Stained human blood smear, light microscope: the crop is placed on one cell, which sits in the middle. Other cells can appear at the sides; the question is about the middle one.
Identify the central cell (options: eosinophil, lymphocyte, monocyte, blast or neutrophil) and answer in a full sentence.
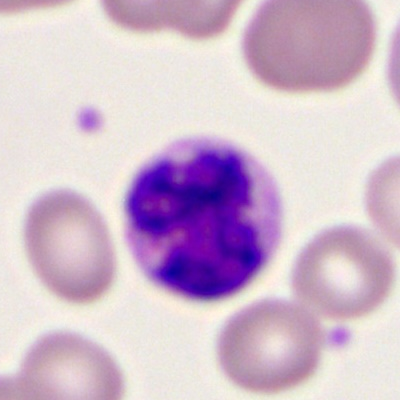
For this crop, the central cell is a neutrophil.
